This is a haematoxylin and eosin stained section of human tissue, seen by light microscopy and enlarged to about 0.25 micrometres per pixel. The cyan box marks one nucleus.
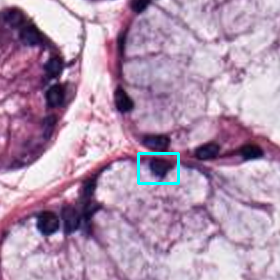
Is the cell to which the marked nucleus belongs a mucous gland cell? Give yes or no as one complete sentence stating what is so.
Yes, the marked nucleus is present within a mucous gland cell.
